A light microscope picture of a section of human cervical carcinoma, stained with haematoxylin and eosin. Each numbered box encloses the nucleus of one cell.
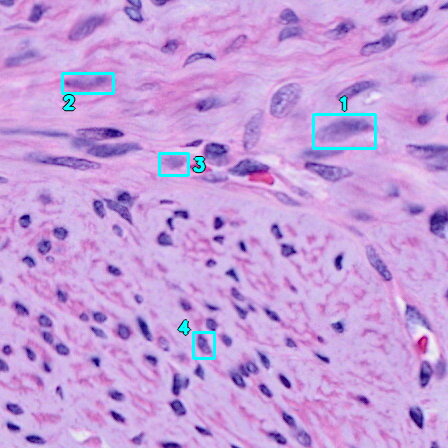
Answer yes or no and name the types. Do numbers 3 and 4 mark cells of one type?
No, as to type, cell 3 is an endothelial cell, and cell 4 is a smooth muscle cell.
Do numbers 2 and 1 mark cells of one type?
No, cell 2 is a smooth muscle cell; cell 1 is a fibroblast.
